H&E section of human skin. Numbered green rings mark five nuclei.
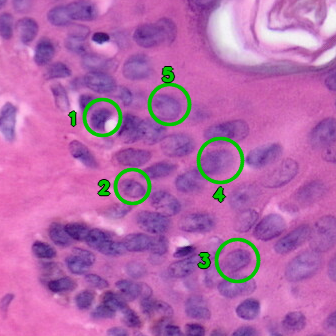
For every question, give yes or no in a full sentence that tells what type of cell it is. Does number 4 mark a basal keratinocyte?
No, the cell denoted 4 is a suprabasal keratinocyte rather than a basal keratinocyte.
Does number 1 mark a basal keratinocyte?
Yes, of the numbered cells, number 1 is a basal keratinocyte.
